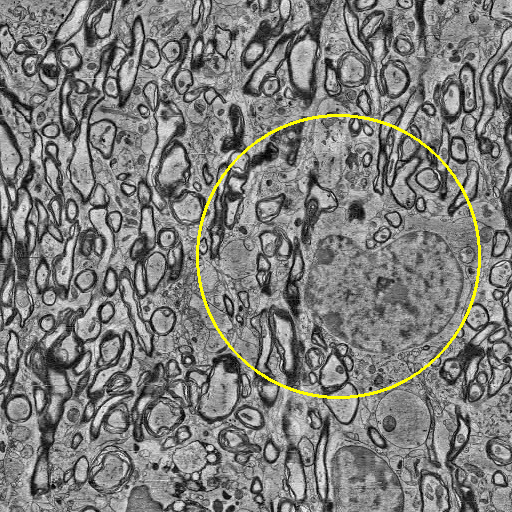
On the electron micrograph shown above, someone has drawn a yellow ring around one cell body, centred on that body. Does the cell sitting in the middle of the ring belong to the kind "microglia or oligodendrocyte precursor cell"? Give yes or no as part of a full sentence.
Yes, the cell located in the middle of the ring in the micrograph is of that kind.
